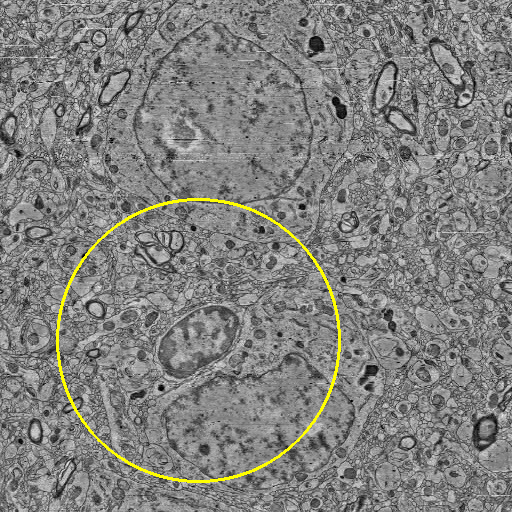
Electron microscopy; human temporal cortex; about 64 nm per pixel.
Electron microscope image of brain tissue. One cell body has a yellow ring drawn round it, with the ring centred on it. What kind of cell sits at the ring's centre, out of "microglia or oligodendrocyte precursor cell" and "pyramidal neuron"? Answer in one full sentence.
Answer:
It is a microglial cell or oligodendrocyte precursor cell whose cell body sits at the centre of the yellow ring.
